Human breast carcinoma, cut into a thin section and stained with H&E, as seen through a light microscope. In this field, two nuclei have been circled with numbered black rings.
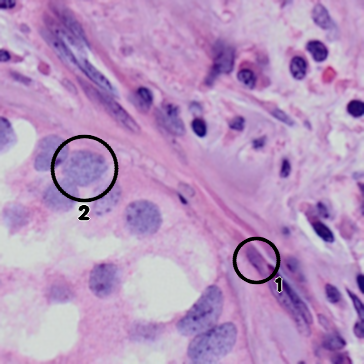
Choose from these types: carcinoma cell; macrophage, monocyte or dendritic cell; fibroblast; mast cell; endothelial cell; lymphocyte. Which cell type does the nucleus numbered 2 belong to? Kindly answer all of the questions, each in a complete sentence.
Classified as a carcinoma cell is the cell with the number 2.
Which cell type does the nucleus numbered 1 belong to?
The cell marked with the number 1 is an endothelial cell.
